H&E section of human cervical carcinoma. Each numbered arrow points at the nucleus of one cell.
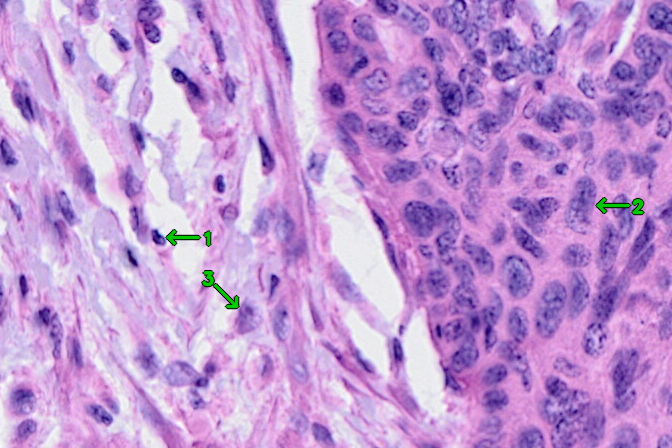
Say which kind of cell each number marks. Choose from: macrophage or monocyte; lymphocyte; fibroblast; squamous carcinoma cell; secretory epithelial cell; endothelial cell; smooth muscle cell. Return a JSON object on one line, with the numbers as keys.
{"1": "lymphocyte", "2": "squamous carcinoma cell", "3": "fibroblast"}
